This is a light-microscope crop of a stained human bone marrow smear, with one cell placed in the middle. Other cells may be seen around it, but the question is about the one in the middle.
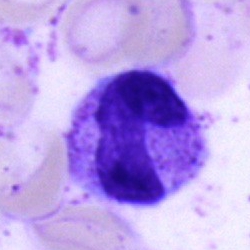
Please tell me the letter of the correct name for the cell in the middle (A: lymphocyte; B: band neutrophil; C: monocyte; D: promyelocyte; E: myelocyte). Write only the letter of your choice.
B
